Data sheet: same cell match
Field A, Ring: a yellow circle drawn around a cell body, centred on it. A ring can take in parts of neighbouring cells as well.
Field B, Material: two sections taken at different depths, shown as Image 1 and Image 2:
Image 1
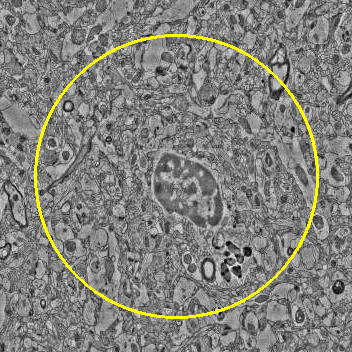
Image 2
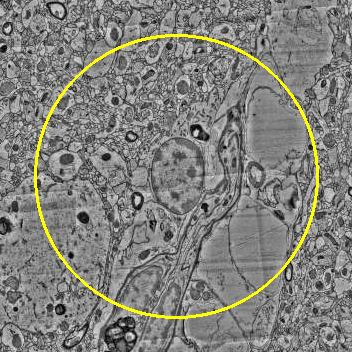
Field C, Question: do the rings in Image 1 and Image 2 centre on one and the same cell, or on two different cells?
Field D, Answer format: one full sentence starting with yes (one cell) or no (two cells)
No, a single cell is not marked twice here; two cells are marked.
